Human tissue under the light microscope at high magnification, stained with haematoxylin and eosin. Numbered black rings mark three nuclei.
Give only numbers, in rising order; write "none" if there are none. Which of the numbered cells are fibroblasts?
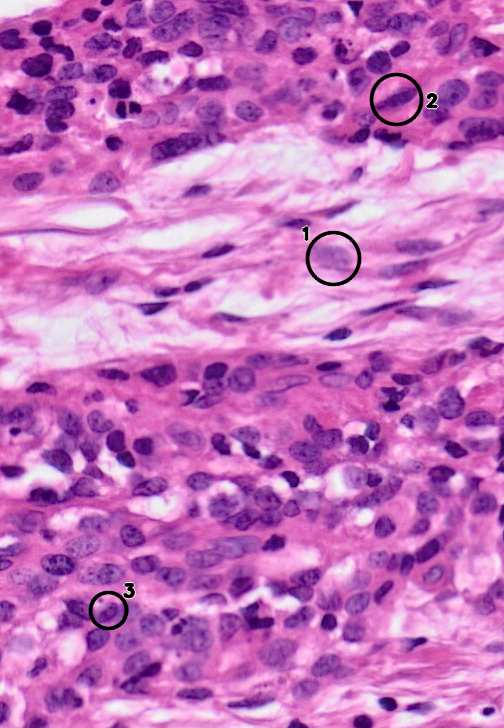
1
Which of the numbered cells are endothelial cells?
2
